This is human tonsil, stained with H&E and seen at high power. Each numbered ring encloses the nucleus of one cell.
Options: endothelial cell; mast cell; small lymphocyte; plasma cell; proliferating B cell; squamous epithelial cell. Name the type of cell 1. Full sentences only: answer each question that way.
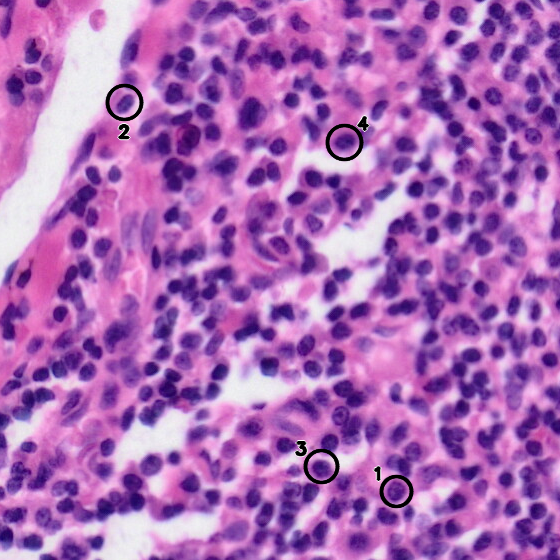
Cell 1 in the field is a plasma cell.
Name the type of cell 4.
Number 4 among the marked cells is a plasma cell.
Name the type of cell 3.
The cell that bears the number 3 is a plasma cell.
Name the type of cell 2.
Looking at the numbered marks, cell 2 is a mast cell.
